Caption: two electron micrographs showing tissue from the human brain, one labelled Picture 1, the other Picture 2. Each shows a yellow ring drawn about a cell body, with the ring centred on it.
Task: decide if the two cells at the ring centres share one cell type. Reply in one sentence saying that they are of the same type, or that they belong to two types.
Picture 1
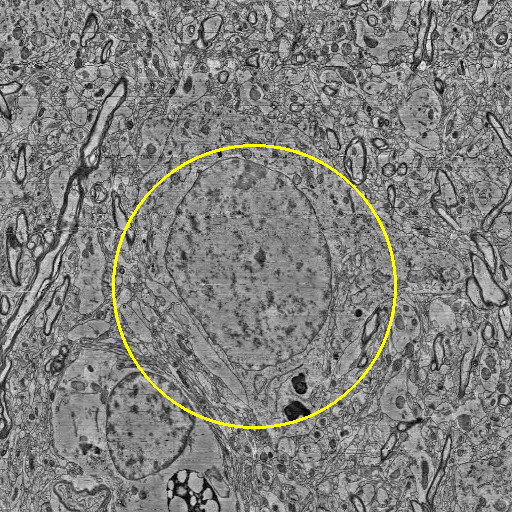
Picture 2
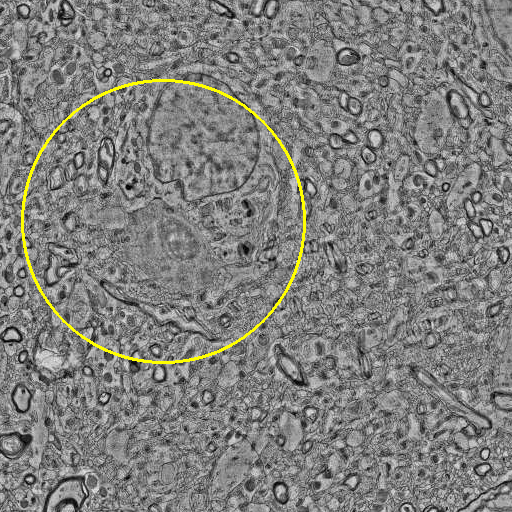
The cells at the ring centres in Picture 1 and Picture 2 belong to two types.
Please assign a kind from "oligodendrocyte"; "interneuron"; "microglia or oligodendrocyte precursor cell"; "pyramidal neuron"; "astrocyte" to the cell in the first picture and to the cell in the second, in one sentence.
In the first picture we have a pyramidal neuron, and in the second, an oligodendrocyte.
